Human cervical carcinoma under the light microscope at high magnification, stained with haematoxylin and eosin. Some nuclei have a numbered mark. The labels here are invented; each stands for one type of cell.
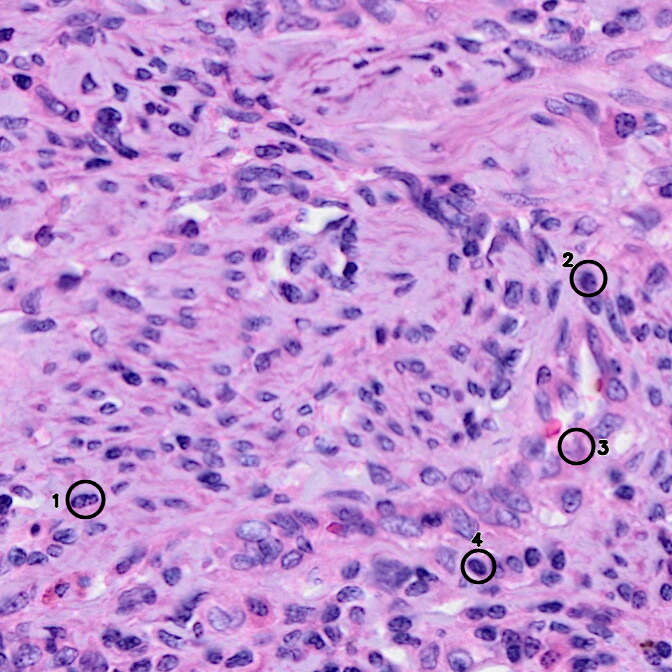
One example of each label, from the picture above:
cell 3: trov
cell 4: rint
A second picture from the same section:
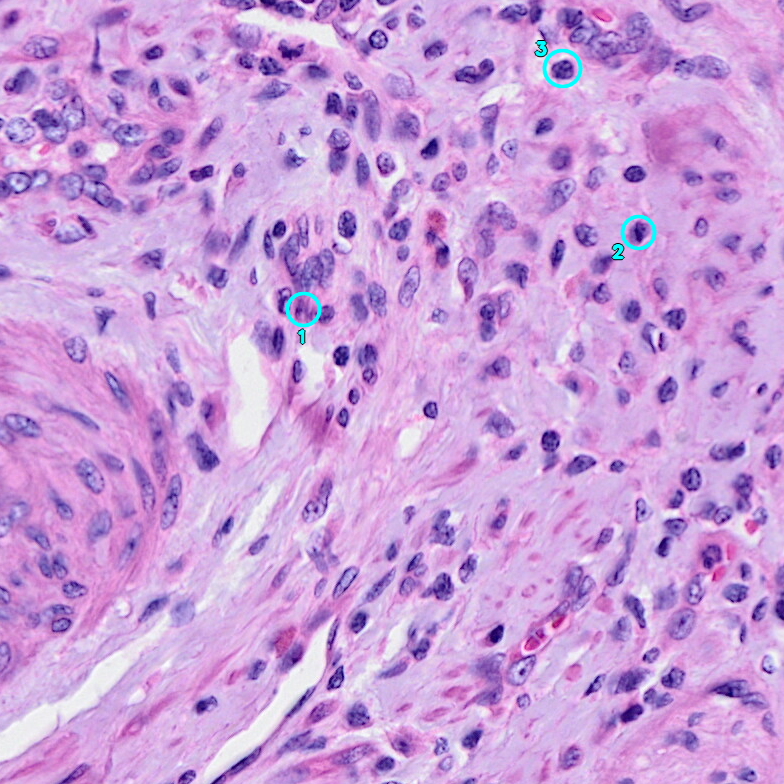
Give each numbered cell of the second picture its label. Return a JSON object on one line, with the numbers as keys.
{"1": "trov", "2": "rint", "3": "rint"}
